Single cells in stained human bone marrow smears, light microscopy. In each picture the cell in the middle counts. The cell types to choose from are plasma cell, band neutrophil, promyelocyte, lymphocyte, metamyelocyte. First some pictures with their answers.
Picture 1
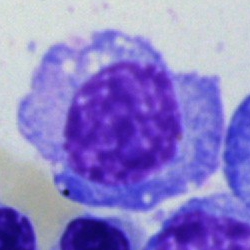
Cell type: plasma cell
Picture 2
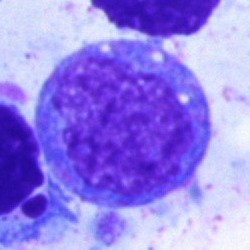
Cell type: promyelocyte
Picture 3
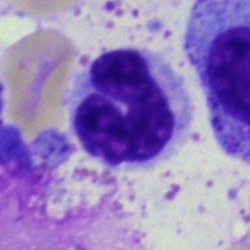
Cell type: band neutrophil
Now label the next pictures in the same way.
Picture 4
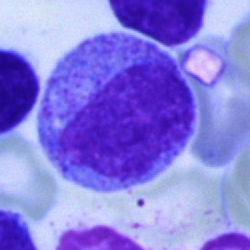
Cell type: promyelocyte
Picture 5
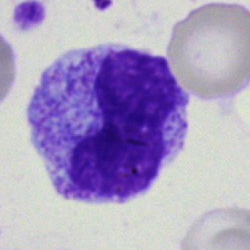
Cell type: metamyelocyte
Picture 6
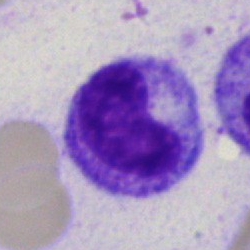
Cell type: metamyelocyte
